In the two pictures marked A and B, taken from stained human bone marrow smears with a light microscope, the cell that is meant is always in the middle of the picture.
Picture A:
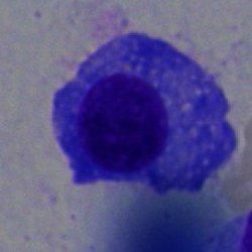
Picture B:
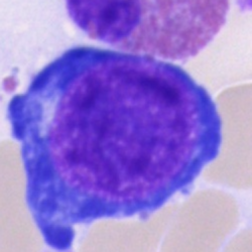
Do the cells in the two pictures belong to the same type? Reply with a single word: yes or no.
no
